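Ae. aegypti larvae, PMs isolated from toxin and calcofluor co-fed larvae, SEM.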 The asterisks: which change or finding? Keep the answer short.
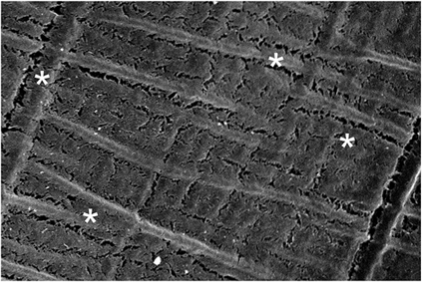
cracks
